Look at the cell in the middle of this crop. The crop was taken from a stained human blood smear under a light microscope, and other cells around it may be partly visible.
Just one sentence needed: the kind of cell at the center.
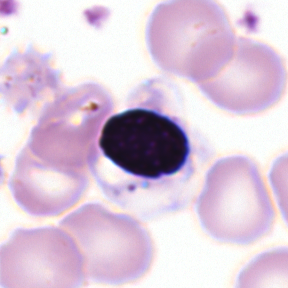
In the central position of this crop, the cell is a normoblast.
